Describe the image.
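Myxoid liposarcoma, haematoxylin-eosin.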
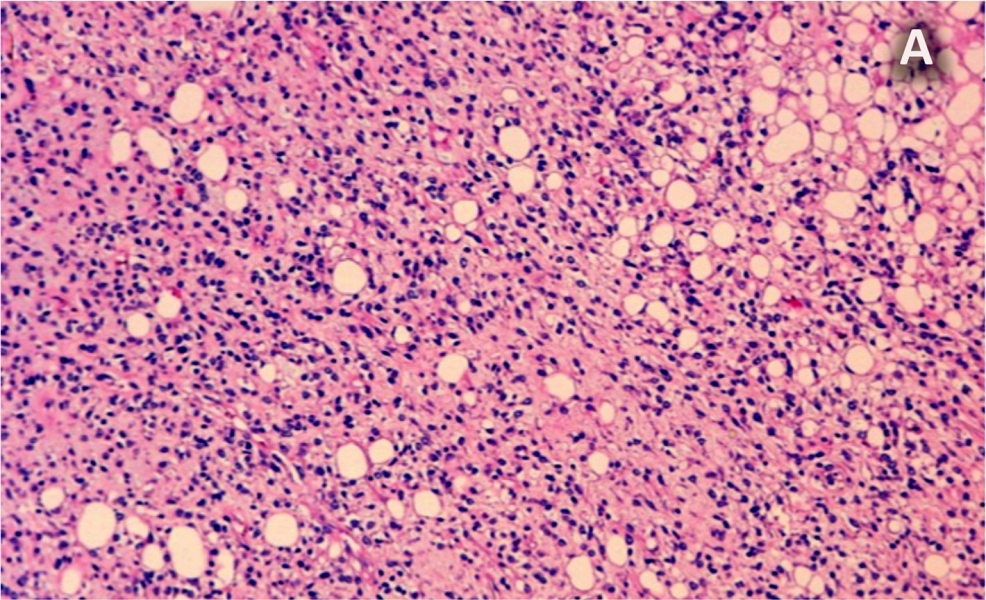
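A densely cellular tumour made of abundant small cells with dark, ovoid to elongated nuclei set in a pink fibrillary background. Numerous clear round vacuoles of varying size are scattered among the cells, crowding together toward one corner of the field.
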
